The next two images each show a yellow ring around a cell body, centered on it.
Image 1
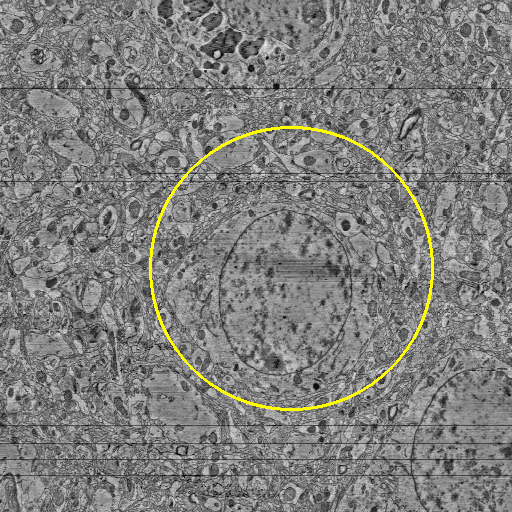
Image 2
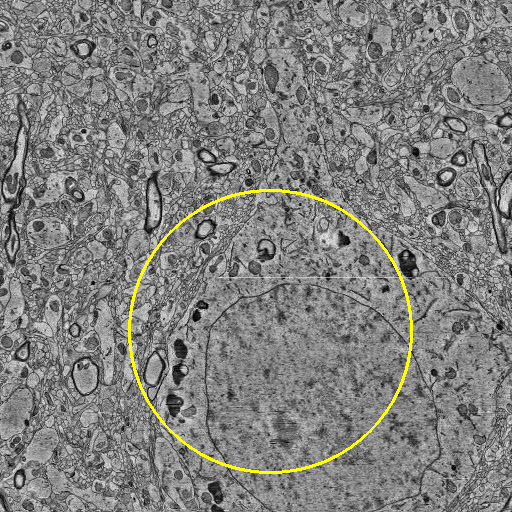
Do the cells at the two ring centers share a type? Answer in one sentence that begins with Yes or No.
Yes, across the two images the cells at the ring centers share one type.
